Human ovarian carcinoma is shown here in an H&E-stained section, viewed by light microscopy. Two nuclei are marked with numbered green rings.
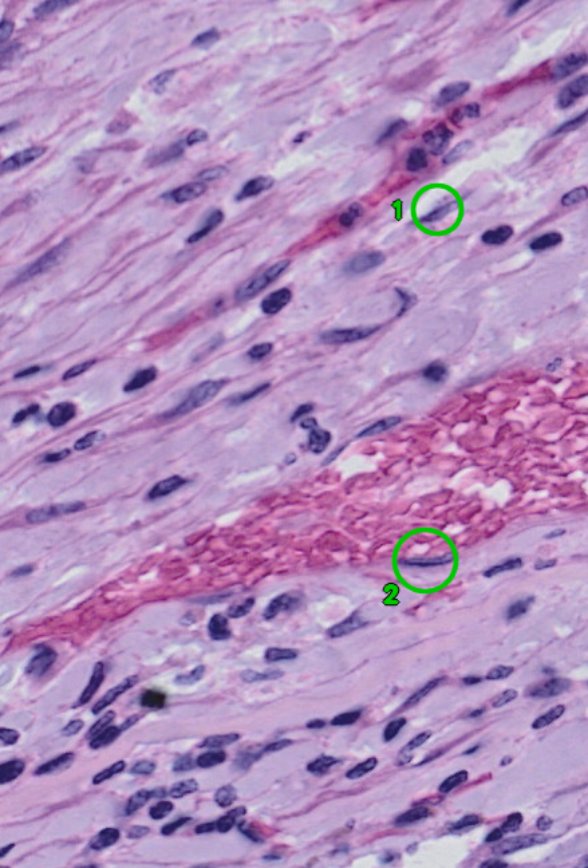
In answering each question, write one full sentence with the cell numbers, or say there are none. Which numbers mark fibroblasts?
Only the cell with the number 1 is a fibroblast.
